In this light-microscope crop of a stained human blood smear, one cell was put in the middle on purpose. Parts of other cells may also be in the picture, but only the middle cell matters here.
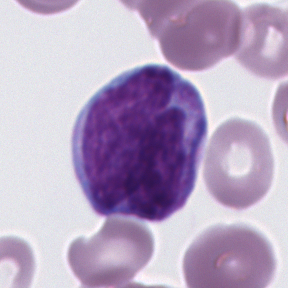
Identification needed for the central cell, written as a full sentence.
The cell sitting right in the middle is an atypical promyelocyte.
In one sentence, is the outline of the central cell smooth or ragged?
The edge of the cell is unbroken and smooth, bearing no projections.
